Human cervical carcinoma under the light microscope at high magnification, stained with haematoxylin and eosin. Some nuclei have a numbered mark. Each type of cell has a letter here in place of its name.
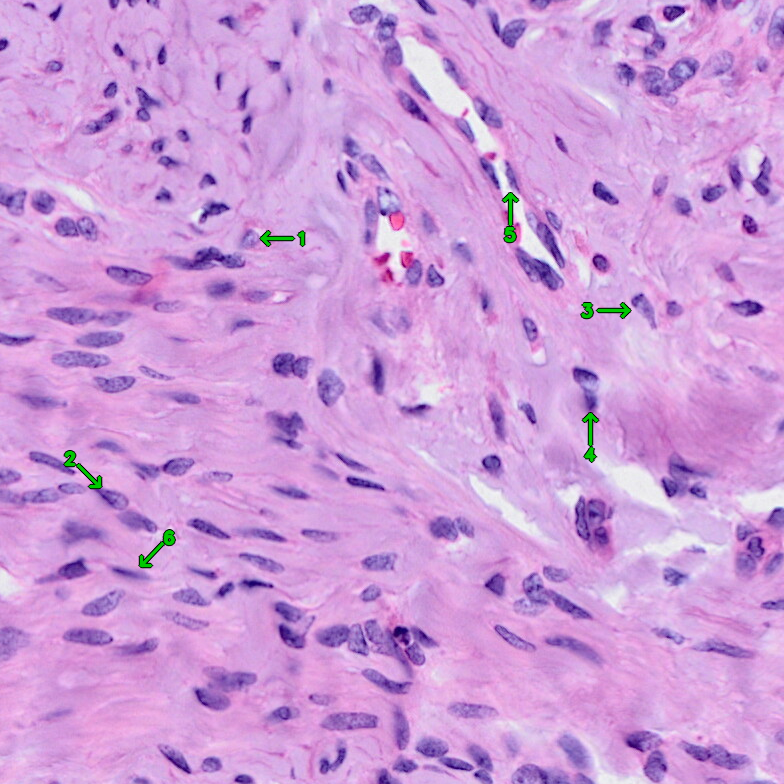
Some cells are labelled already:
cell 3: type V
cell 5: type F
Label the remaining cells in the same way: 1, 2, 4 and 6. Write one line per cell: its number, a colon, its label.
1: type F
2: type V
4: type V
6: type V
